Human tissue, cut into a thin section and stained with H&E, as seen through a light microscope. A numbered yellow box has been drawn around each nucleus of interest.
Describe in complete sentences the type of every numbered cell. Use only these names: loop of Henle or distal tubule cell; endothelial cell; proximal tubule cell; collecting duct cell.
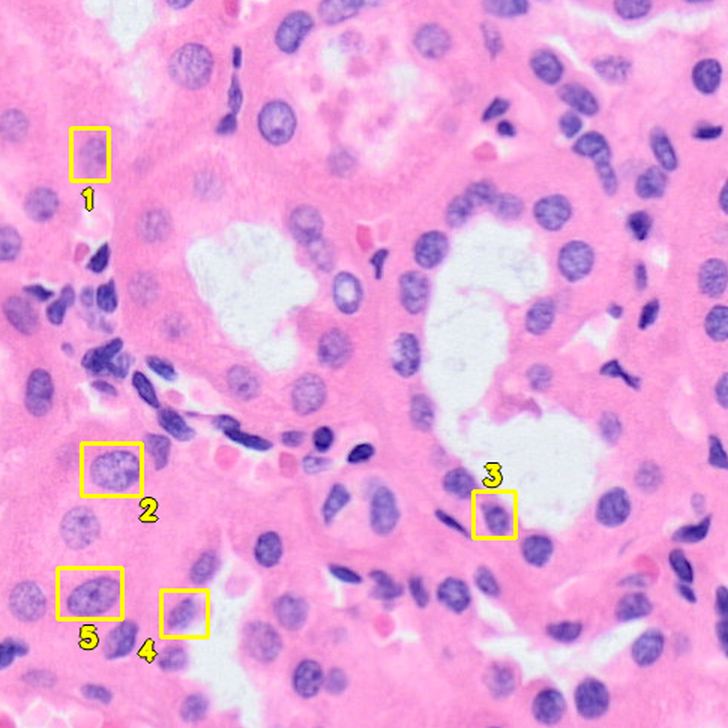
Cell 1 is a proximal tubule cell, cell 2 is a proximal tubule cell, cell 3 is a loop of Henle or distal tubule cell, cell 4 is a loop of Henle or distal tubule cell and cell 5 is a proximal tubule cell.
